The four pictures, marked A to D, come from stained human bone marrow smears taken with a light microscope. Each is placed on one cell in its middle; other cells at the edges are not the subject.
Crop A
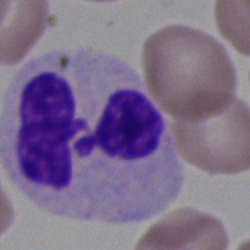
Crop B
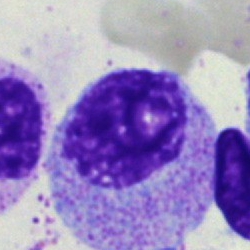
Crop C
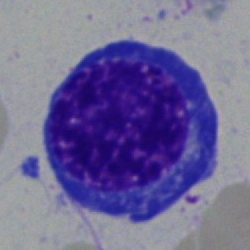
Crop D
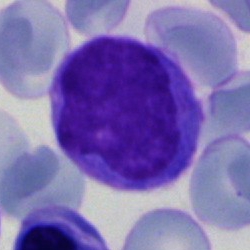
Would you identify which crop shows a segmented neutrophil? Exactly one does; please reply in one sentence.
The sole crop showing a segmented neutrophil is crop A.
